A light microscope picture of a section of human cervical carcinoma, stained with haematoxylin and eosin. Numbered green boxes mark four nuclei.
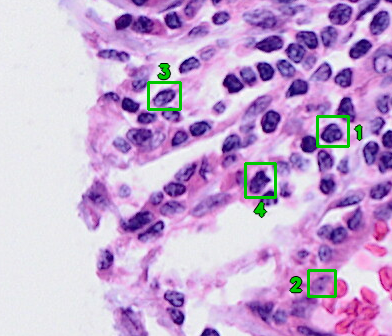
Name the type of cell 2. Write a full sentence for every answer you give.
The cell referenced by the number 2 is an endothelial cell in this field.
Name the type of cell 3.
In the tissue shown, cell 3 is a lymphocyte.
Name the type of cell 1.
Cell 1 should be recorded as a lymphocyte.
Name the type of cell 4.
As for number 4, that cell is a lymphocyte.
